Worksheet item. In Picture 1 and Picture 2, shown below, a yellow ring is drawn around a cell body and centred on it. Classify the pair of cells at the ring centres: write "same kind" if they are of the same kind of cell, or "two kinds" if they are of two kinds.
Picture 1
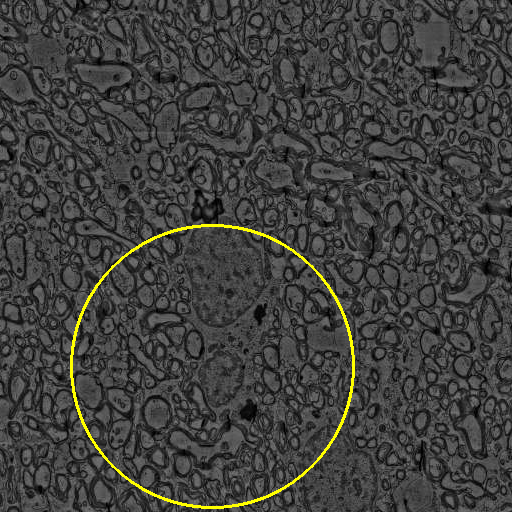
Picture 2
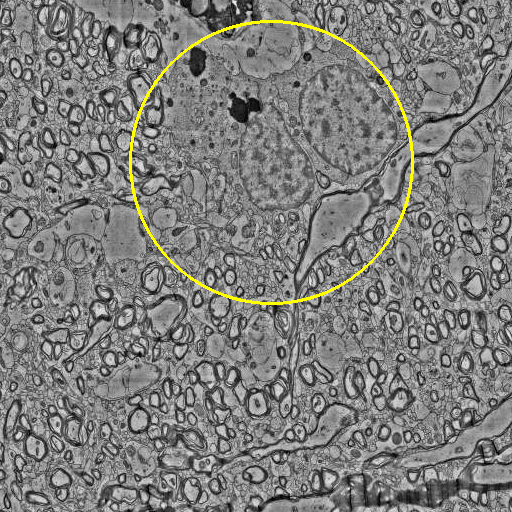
same kind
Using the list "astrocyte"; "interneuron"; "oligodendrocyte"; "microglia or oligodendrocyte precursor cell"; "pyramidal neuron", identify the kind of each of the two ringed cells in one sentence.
Each one of the two ringed cells is an oligodendrocyte.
